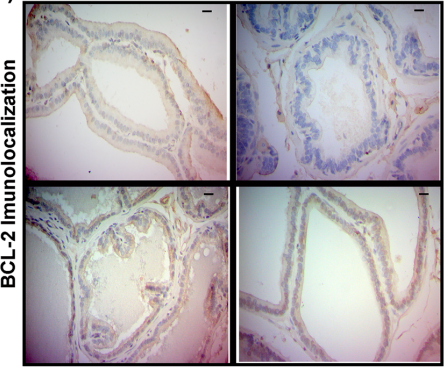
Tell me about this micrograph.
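The epithelial nuclei are oval, blue and lie mostly toward the base of the cells, giving a palisaded row along each acinus. The epithelium forms folds that project into wide lumina, which contain pale, faintly granular secretion. Between the acini lies thin stroma with elongated, flattened nuclei. Brown staining is faint and patchy, seen mainly at the cell margins and in the stroma rather than filling the epithelium.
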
